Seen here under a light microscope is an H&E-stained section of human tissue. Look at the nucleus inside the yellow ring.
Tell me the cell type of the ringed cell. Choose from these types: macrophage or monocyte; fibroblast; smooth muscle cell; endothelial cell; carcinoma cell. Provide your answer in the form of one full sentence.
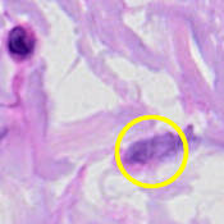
In this field of tissue, the ringed cell is a fibroblast.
